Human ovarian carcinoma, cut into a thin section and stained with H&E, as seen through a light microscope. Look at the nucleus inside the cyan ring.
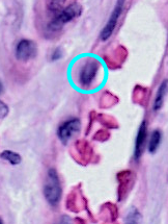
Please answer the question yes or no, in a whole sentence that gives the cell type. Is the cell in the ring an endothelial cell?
Yes, as far as cell type goes, the cell in the ring is an endothelial cell.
